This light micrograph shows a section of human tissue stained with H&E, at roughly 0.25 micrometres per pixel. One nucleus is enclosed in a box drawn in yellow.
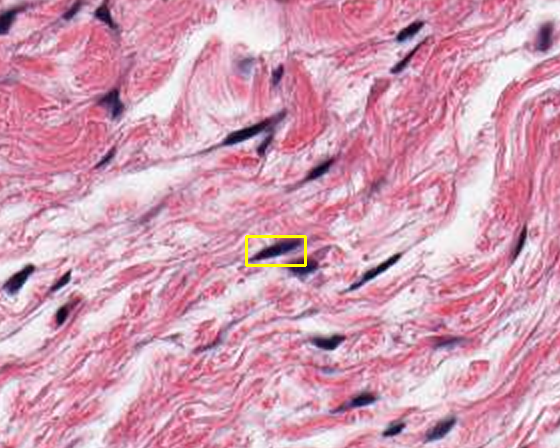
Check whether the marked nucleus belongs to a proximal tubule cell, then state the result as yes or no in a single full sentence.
No, the marked nucleus is not that of a proximal tubule cell but that of a supporting cell.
